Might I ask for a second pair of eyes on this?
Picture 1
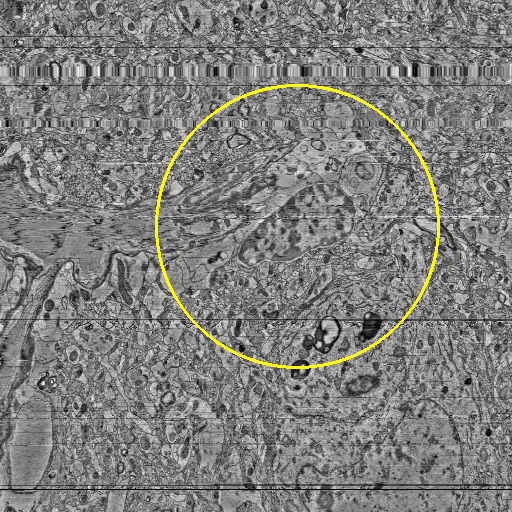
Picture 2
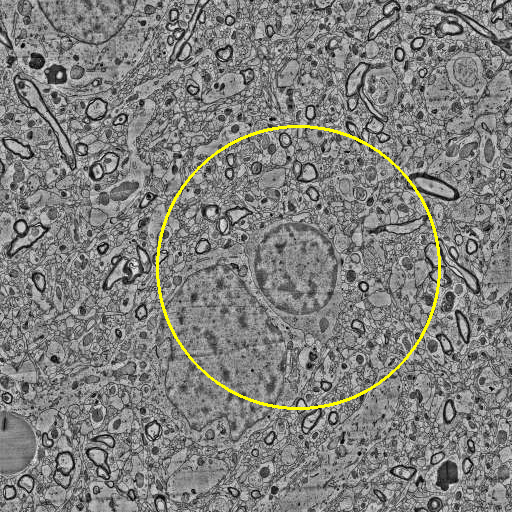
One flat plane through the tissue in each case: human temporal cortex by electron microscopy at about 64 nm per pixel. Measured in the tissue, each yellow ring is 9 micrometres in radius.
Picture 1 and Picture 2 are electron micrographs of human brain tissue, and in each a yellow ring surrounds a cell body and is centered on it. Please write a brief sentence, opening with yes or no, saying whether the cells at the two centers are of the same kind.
No, the cells are of two kinds.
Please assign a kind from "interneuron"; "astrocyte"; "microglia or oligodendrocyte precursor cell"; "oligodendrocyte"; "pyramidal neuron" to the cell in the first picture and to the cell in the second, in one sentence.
In the first picture we have a microglial cell or oligodendrocyte precursor cell, and in the second, an oligodendrocyte.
